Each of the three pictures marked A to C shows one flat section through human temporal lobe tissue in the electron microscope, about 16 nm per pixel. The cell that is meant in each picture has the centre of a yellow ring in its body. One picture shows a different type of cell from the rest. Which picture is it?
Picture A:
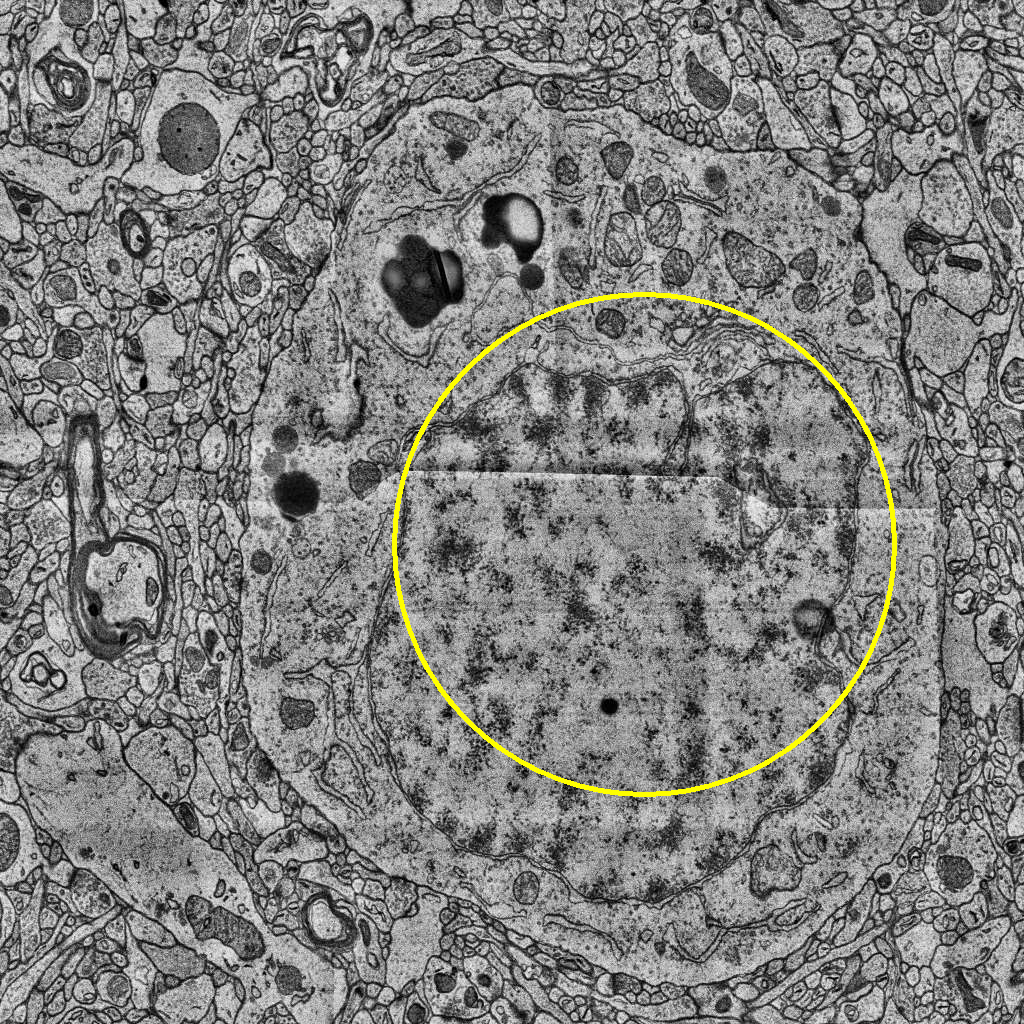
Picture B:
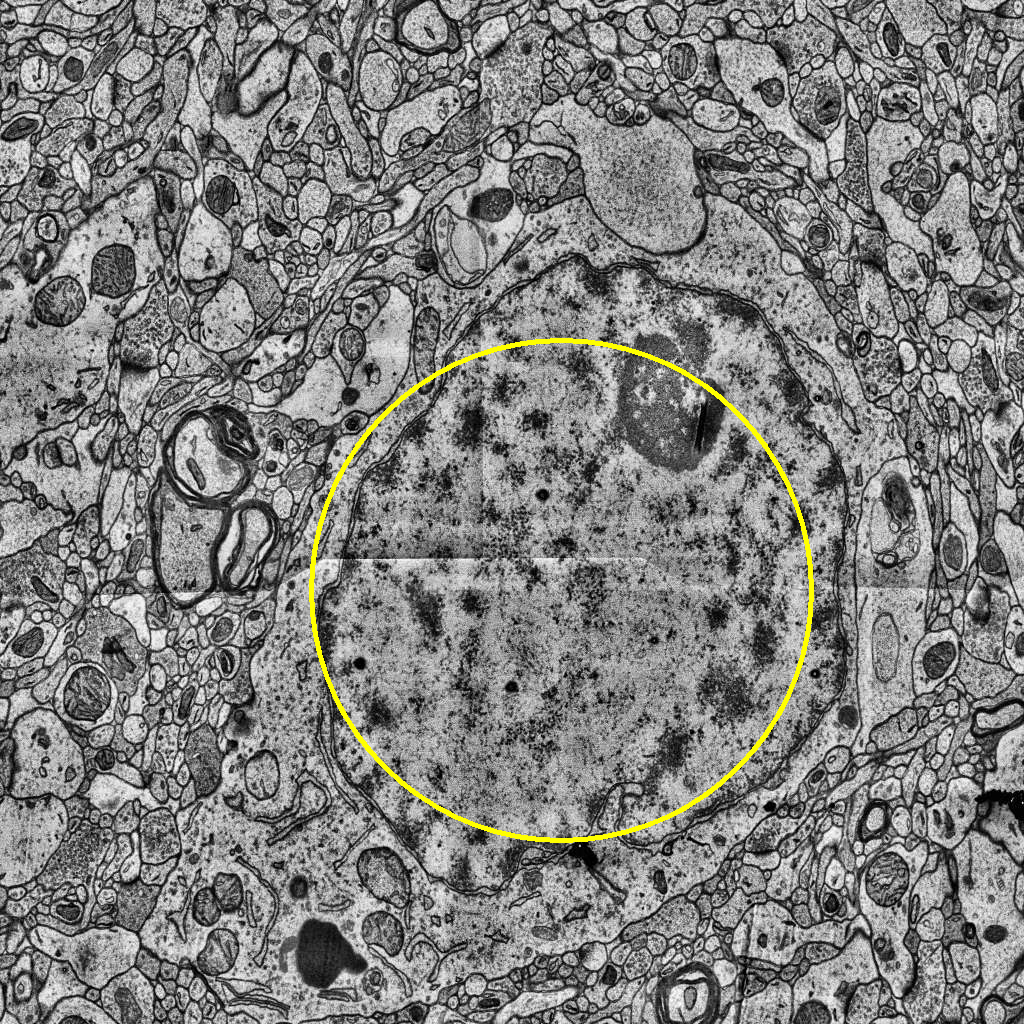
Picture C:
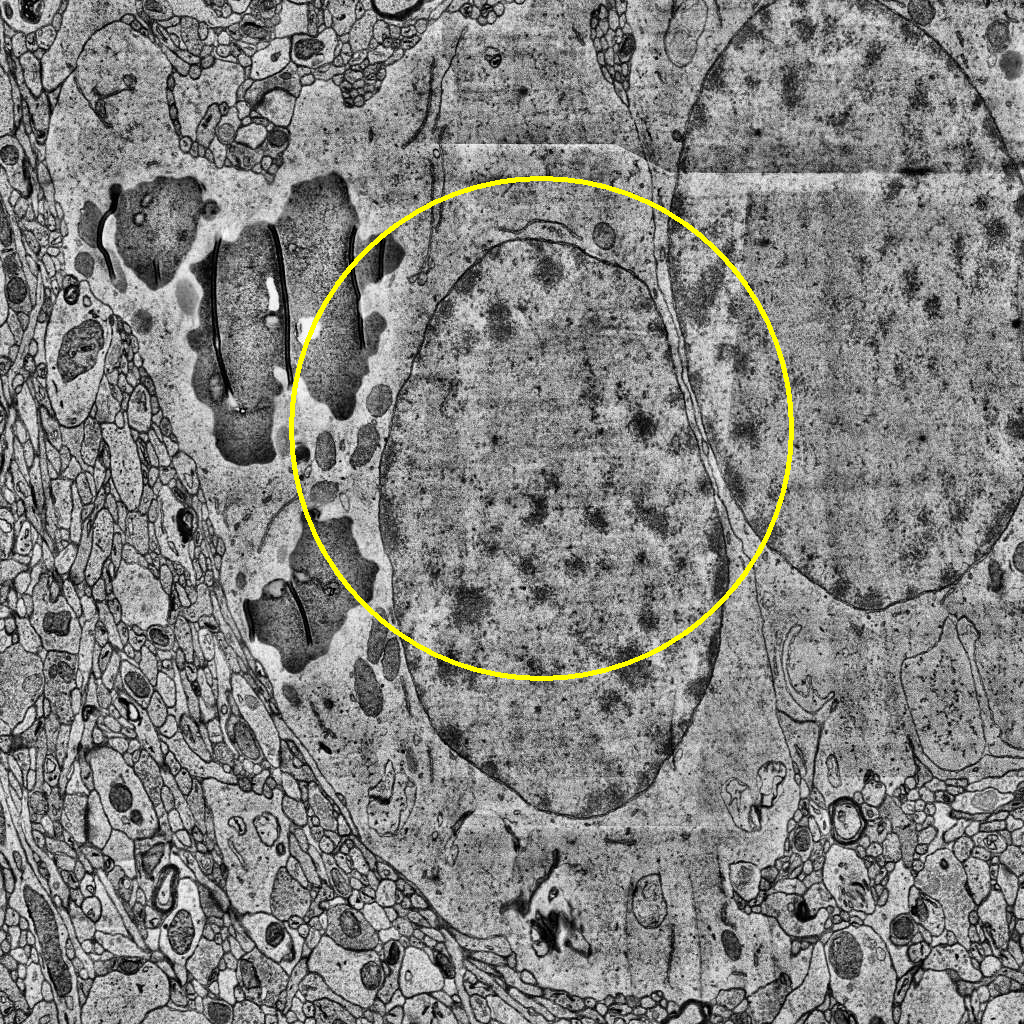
Unlike the rest, which show interneurons, picture C shows an astrocyte.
